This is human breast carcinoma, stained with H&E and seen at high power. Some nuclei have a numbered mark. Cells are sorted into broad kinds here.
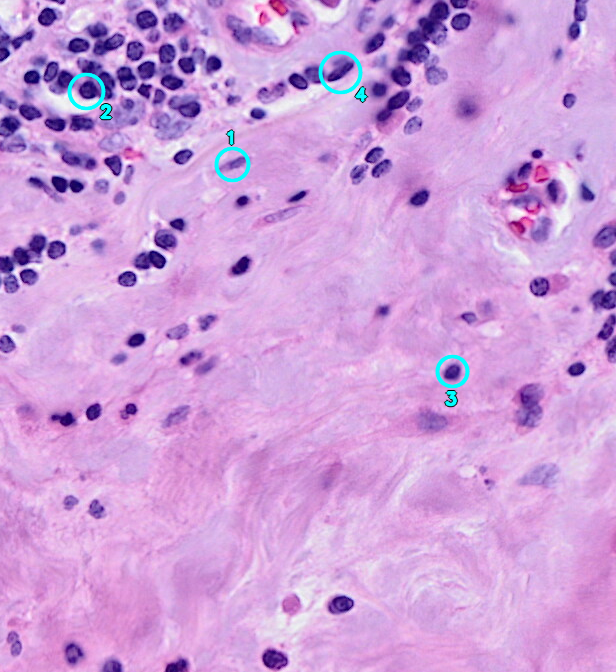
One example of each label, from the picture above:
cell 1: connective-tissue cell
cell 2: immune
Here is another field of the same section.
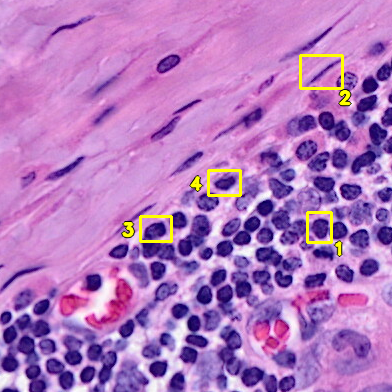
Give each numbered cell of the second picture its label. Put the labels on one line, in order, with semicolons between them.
immune; connective-tissue cell; immune; immune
